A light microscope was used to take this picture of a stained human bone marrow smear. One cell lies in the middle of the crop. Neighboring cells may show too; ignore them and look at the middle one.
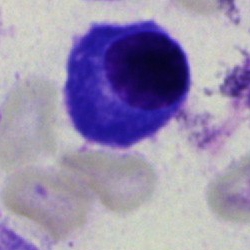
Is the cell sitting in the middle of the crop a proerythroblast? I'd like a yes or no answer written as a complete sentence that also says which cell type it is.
No, what is seen at the centre is a plasma cell instead of a proerythroblast.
